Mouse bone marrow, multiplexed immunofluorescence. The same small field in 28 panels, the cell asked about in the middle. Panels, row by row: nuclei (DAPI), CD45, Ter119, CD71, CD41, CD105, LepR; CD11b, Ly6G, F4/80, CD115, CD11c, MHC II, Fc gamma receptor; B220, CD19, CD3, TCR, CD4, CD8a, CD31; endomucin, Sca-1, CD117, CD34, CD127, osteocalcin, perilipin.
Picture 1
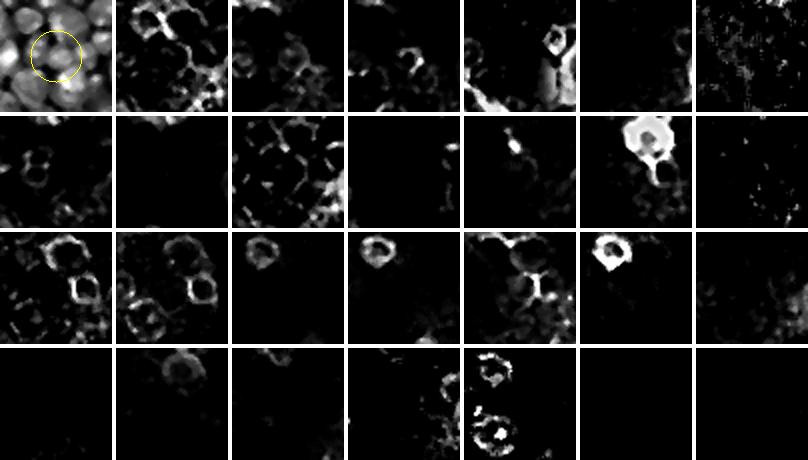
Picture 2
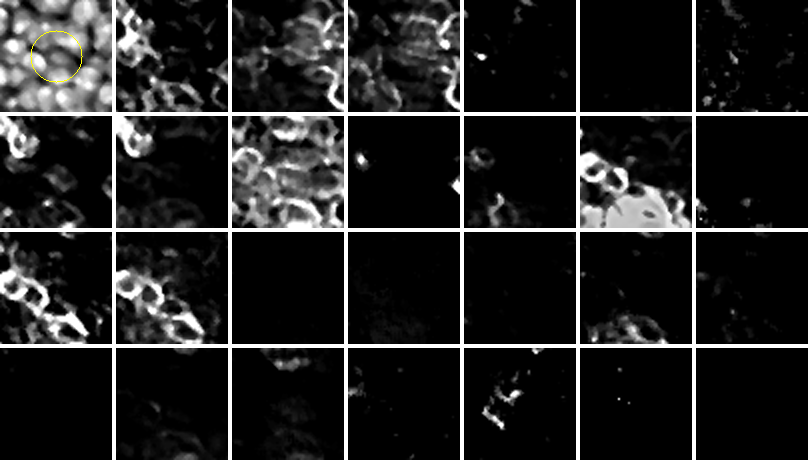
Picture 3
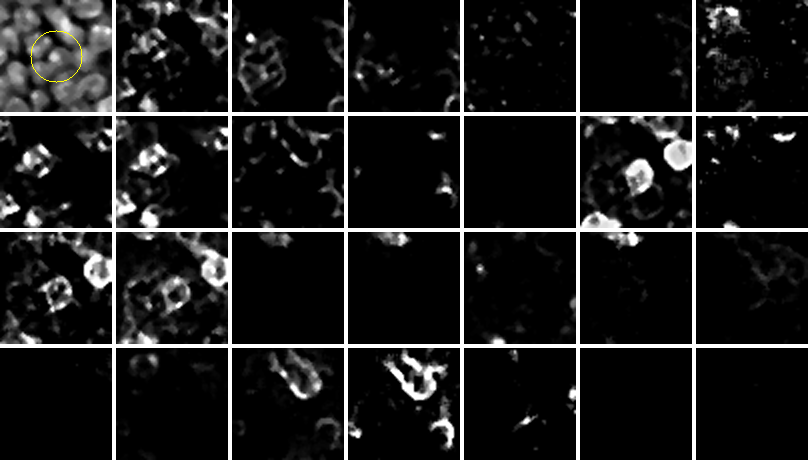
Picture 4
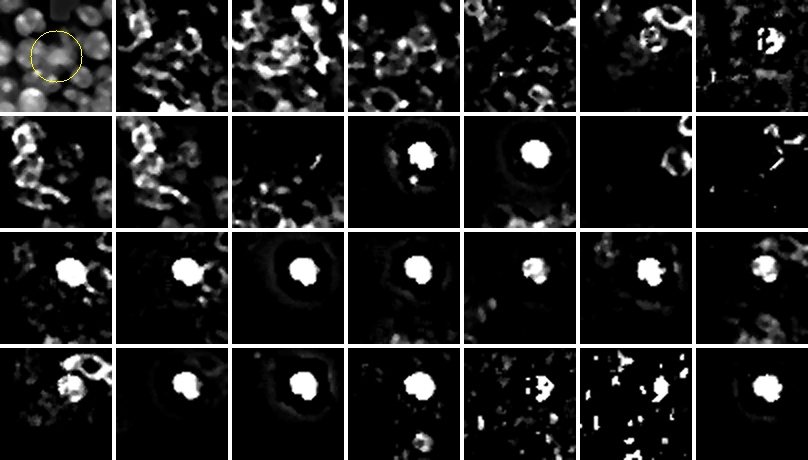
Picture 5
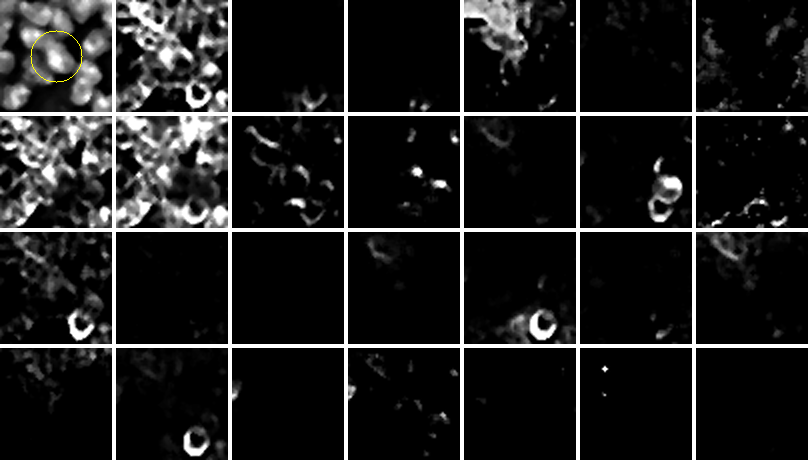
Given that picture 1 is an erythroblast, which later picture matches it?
2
